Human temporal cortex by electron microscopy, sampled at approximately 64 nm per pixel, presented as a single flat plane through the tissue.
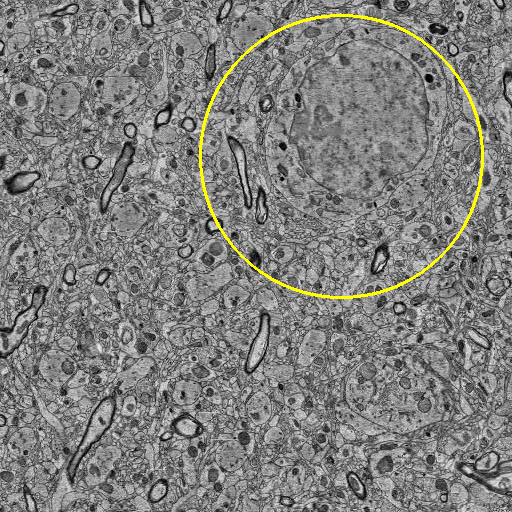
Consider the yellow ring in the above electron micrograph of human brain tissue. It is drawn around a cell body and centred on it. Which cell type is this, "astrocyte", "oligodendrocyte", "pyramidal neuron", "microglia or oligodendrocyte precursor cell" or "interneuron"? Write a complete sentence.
The cell in question is an interneuron.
